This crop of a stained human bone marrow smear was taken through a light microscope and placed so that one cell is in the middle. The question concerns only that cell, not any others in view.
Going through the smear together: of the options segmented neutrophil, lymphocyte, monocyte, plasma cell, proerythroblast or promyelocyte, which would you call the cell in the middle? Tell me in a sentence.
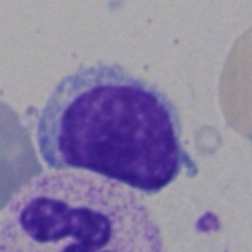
This crop has a lymphocyte at its centre.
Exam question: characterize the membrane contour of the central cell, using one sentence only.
An irregular outline, ragged or marked by projections, surrounds this cell.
